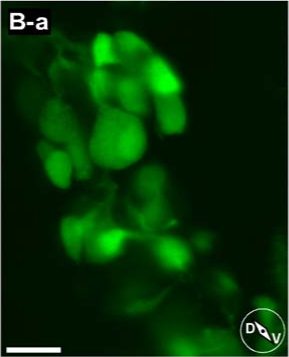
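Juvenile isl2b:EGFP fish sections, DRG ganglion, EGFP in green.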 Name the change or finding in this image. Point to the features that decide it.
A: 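Green rounded cell bodies are packed together in a cluster. Some cell bodies are clearly larger than their neighbours, others much smaller.
Hence: a variety of cell body sizes.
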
